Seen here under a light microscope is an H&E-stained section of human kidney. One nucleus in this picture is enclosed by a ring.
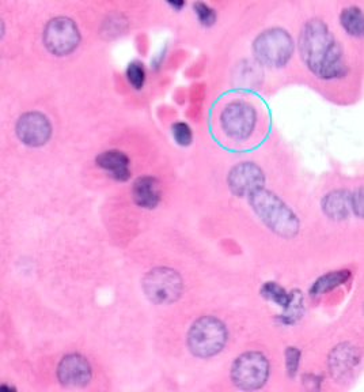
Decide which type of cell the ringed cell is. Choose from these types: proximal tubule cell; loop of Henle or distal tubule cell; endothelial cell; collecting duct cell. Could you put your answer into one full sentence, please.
In this tissue sample, the ringed cell is a collecting duct cell.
